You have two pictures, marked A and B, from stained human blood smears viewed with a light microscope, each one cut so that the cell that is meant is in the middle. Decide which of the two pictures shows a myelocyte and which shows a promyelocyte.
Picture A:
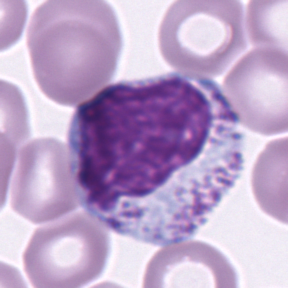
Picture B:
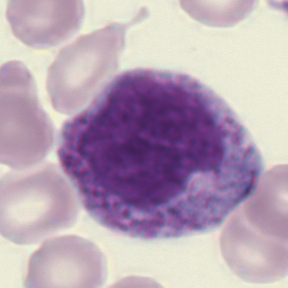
A: myelocyte
B: promyelocyte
